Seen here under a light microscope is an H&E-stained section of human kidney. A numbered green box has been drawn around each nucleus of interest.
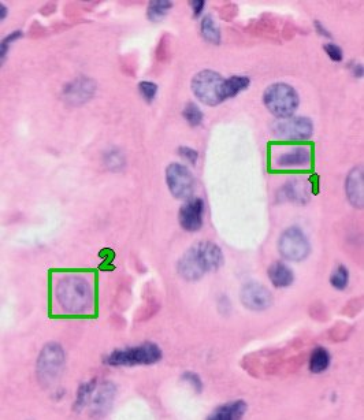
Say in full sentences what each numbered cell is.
Cell 1 is a collecting duct cell. Cell 2 is a proximal tubule cell.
